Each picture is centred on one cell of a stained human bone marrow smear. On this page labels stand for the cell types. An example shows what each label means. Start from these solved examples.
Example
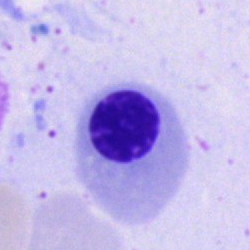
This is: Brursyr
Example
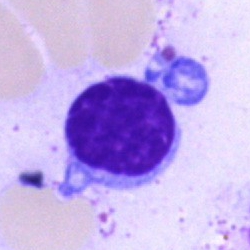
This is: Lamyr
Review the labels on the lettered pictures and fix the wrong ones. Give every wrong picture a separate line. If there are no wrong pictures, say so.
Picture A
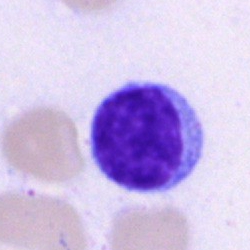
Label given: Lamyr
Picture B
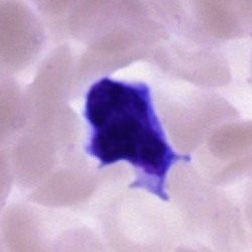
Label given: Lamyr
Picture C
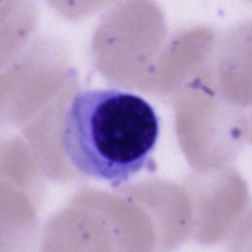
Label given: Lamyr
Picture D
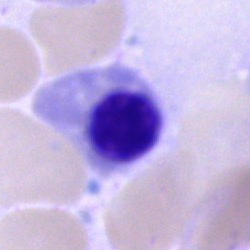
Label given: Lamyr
C should be Brursyr, not Lamyr
D should be Brursyr, not Lamyr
